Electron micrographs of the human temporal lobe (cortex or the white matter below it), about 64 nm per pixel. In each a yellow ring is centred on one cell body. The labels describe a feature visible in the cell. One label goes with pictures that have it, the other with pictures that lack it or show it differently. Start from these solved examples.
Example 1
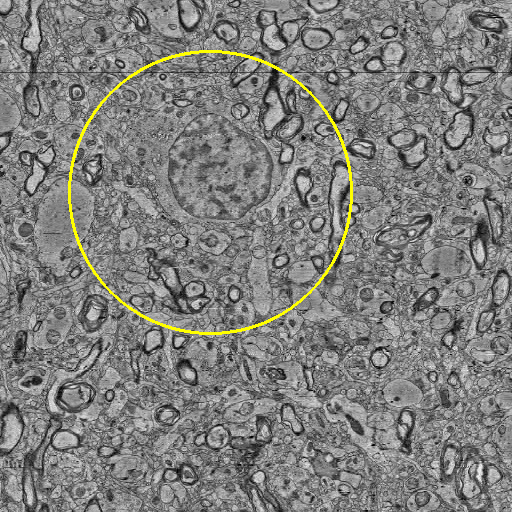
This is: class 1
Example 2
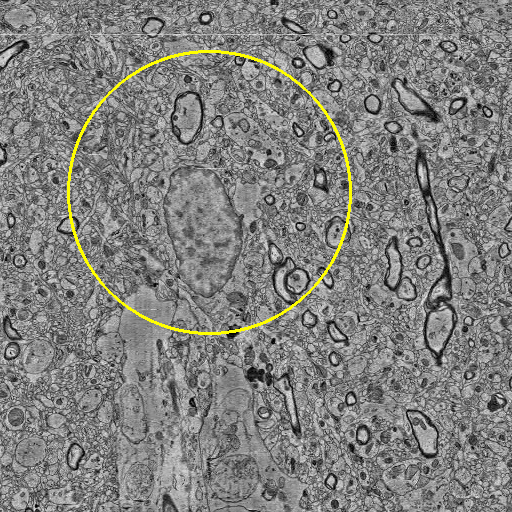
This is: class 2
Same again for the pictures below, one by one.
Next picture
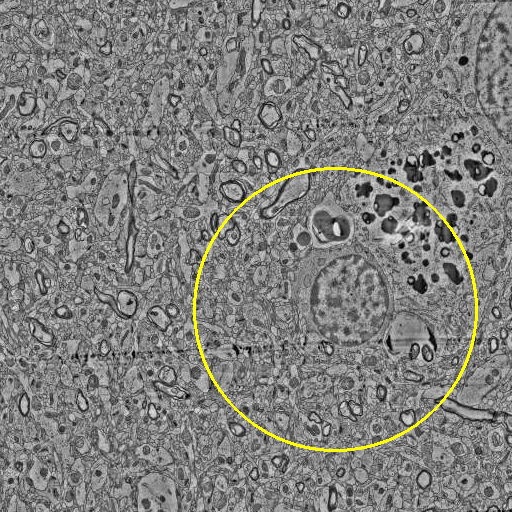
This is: class 1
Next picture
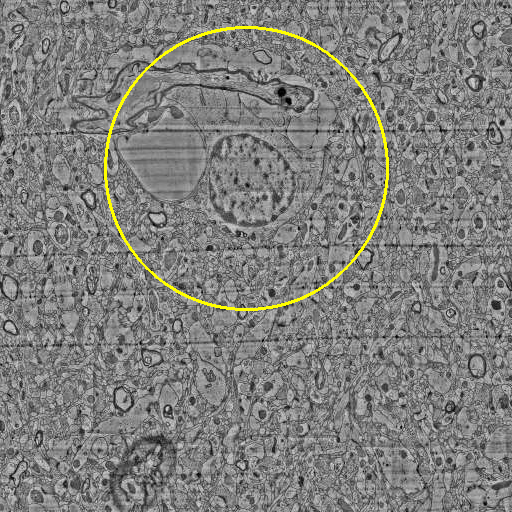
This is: class 1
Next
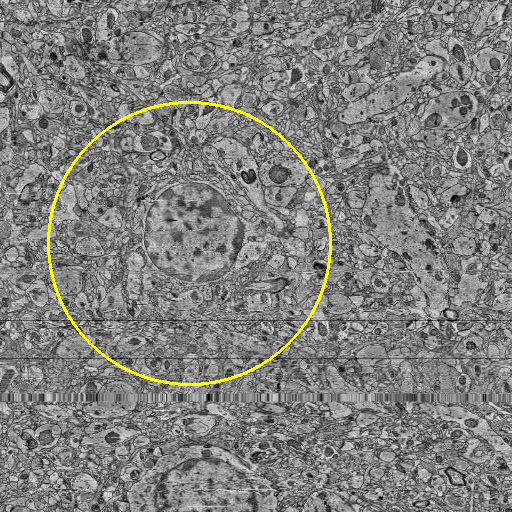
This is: class 1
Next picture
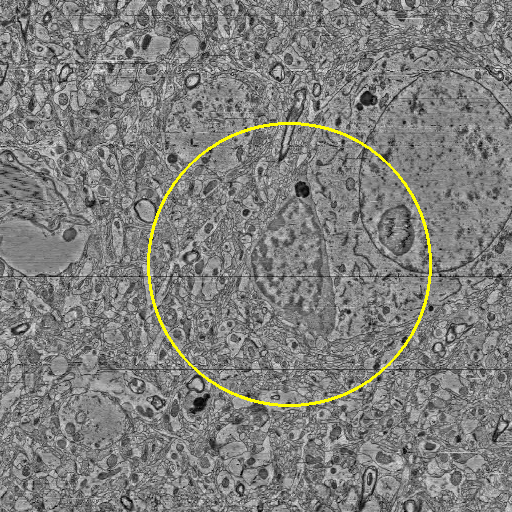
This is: class 2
